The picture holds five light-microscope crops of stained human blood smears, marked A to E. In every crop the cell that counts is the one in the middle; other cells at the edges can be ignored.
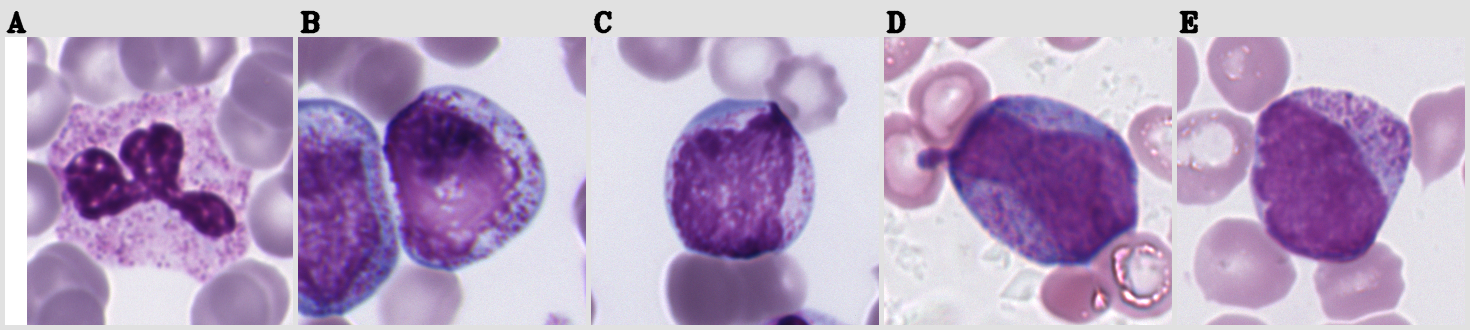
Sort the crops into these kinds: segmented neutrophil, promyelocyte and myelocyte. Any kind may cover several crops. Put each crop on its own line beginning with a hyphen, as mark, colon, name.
- A: segmented neutrophil
- B: myelocyte
- C: myelocyte
- D: promyelocyte
- E: promyelocyte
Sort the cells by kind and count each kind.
myelocyte: 2
promyelocyte: 2
segmented neutrophil: 1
